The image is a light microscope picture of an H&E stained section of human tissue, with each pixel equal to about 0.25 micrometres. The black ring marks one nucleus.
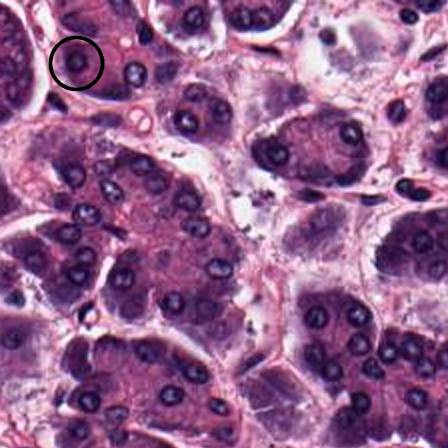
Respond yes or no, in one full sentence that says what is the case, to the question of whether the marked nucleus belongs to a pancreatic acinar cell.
Yes, the marked nucleus is held by a pancreatic acinar cell.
